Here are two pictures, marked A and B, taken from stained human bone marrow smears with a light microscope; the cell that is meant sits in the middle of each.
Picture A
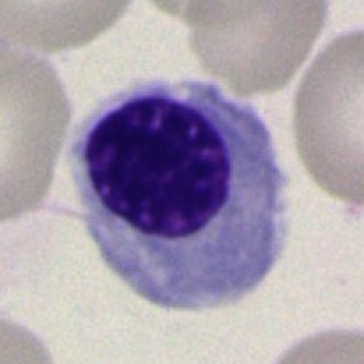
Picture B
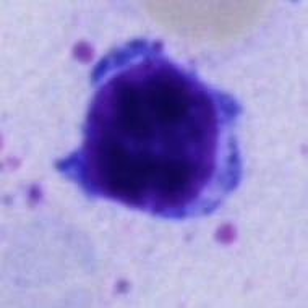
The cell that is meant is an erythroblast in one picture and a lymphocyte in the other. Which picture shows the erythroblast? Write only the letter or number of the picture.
A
